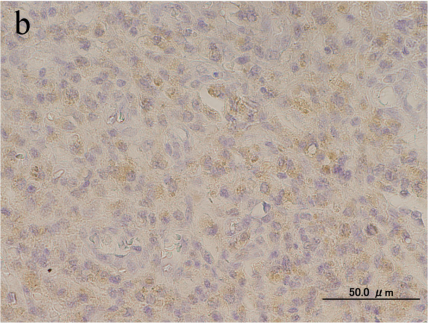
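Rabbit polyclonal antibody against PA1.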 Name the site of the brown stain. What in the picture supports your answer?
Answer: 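Cytoplasmic. Fine brown granular colour lies in the cell bodies. Most nuclei remain blue.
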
